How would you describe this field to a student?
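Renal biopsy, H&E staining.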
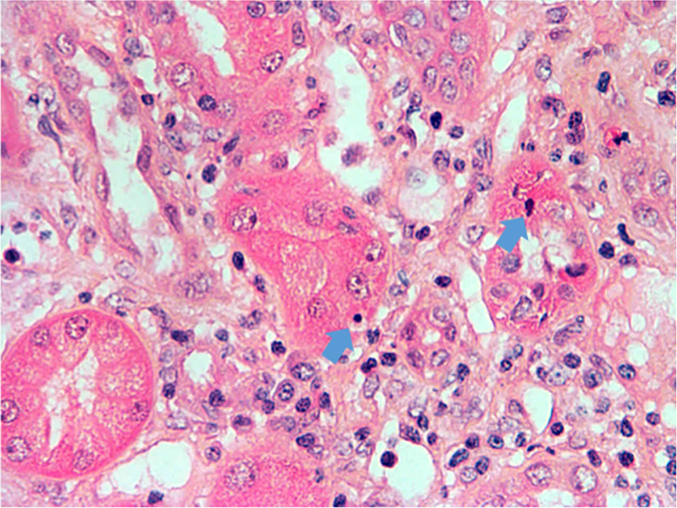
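Kidney cortex at high power with tubules surrounded by an interstitium packed with lymphocytes. Tubular epithelial cells have abundant pink cytoplasm and large, pale, oval nuclei with visible nucleoli. Between the tubules lie many small cells with round, dark, dense nuclei and scant cytoplasm. A few of these small dark cells lie within the tubular epithelium itself. A tubule cut in cross-section at lower left shows a ring of epithelial cells around a narrow lumen.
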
